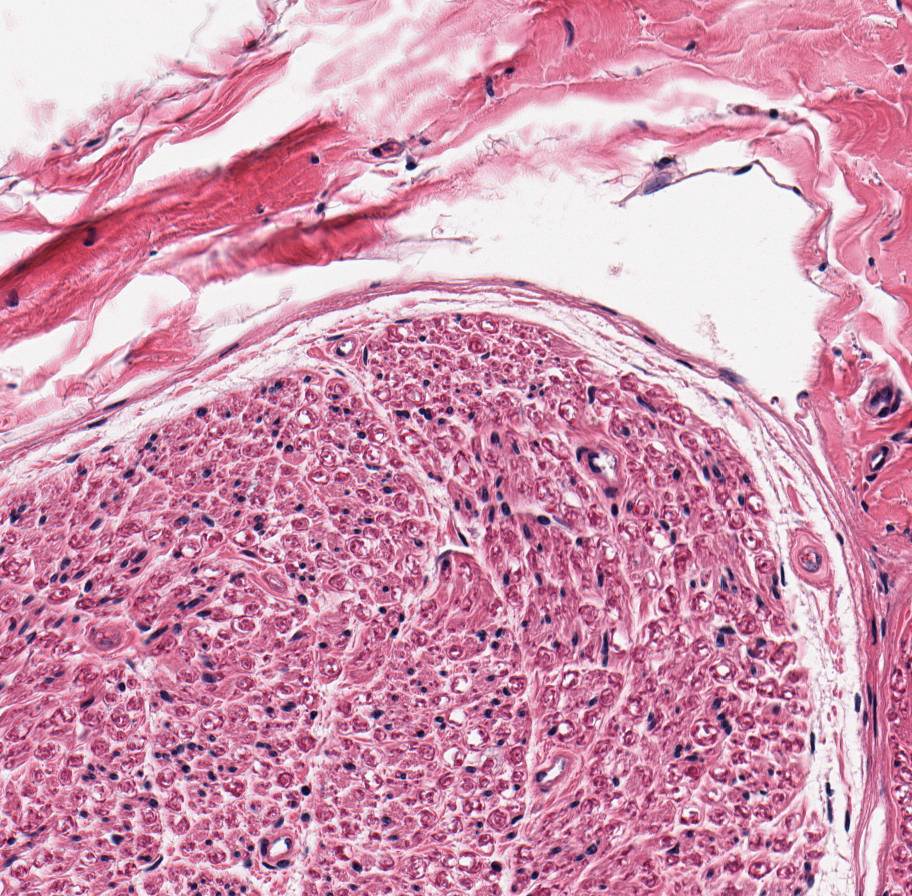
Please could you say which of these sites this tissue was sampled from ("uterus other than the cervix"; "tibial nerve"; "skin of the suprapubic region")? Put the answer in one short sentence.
The site this tissue was sampled from is the tibial nerve.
